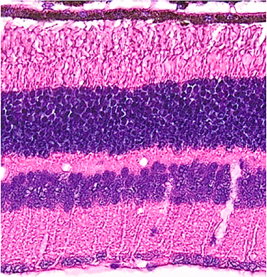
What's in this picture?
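Full-thickness section of retina with its layers stacked from top to bottom. Beneath lies a broad outer nuclear layer of many rows of small, round, densely packed dark purple nuclei. A thin pink outer plexiform layer separates it from a thinner inner nuclear layer of somewhat larger, paler purple nuclei. Below this a wide pink, finely fibrillar inner plexiform layer overlies a single sparse row of nuclei along the bottom edge.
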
